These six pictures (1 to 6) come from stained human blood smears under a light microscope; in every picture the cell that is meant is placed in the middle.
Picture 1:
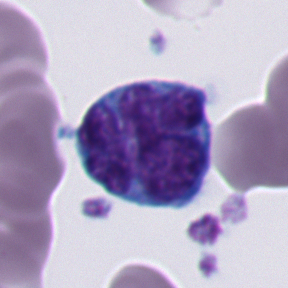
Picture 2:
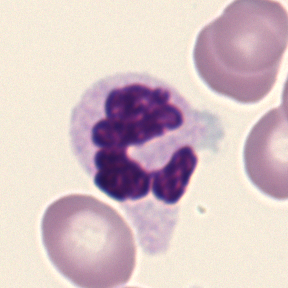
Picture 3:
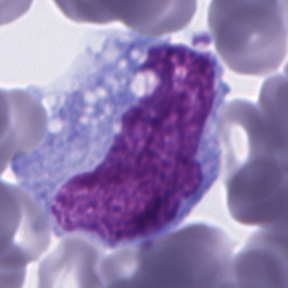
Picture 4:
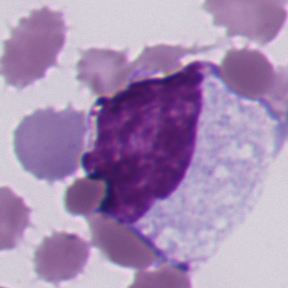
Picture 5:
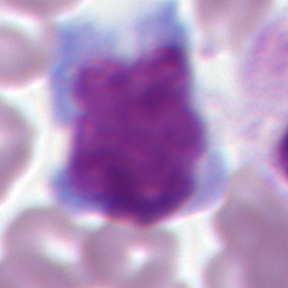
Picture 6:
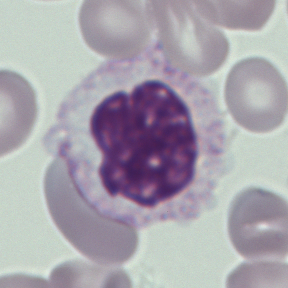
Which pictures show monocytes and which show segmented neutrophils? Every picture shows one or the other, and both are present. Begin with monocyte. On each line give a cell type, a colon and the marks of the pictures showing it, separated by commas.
monocyte: 1, 3, 4, 5
segmented neutrophil: 2, 6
